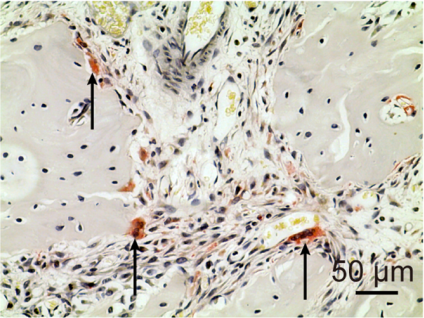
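Section of bone with a few osteoclasts at resorption lacunae. Pale pink-grey bone matrix with scattered small lacunae holding dark nuclei flanks a central band of connective tissue rich in elongated, dark purple nuclei, with small vessels containing yellowish material.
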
